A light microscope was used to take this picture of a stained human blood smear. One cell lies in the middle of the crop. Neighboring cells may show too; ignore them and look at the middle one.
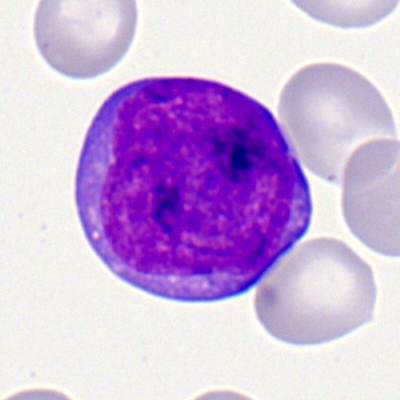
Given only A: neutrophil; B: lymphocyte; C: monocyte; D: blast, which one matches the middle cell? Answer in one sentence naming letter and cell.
The cell positioned centrally is a blast, as given in option D, which is correct.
